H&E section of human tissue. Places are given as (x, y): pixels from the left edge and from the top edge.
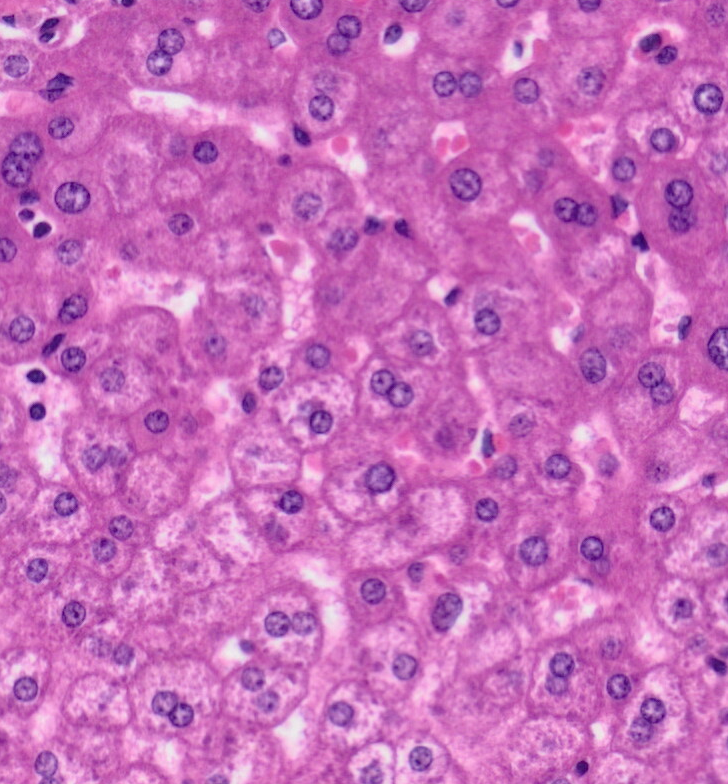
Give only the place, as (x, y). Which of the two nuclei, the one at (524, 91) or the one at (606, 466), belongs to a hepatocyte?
(524, 91)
